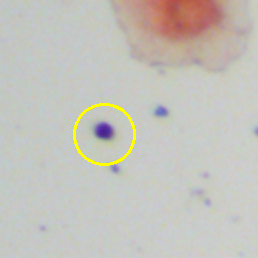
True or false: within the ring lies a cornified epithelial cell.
False: a leukocyte lies within the ring.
